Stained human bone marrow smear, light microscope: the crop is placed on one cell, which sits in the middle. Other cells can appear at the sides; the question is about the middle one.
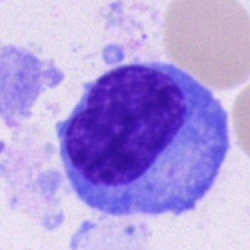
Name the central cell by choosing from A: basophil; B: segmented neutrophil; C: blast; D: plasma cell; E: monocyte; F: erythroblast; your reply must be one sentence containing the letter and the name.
It is a plasma cell that occupies the centre of the crop, so option D is correct.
